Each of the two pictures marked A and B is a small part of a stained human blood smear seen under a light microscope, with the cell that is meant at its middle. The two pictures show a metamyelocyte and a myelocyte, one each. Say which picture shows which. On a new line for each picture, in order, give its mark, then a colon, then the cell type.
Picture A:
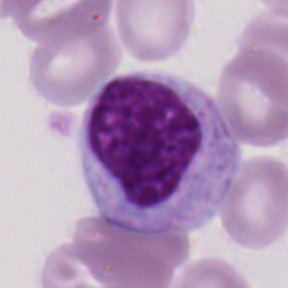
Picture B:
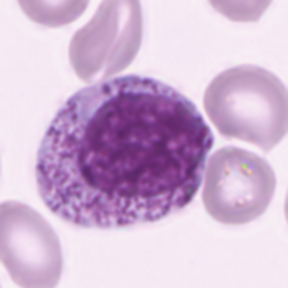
A: metamyelocyte
B: myelocyte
